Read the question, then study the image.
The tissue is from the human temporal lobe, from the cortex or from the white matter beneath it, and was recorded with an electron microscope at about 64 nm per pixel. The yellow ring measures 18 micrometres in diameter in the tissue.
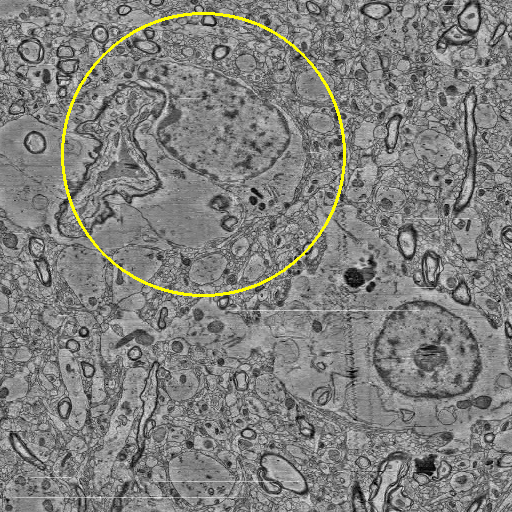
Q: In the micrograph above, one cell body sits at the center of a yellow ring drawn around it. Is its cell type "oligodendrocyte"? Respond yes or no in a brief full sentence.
No, its cell type is another one.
